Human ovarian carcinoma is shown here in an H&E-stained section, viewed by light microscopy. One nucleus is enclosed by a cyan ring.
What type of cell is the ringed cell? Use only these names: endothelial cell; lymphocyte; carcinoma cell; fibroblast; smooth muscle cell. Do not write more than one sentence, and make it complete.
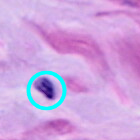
With respect to cell type, the ringed cell is a lymphocyte.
